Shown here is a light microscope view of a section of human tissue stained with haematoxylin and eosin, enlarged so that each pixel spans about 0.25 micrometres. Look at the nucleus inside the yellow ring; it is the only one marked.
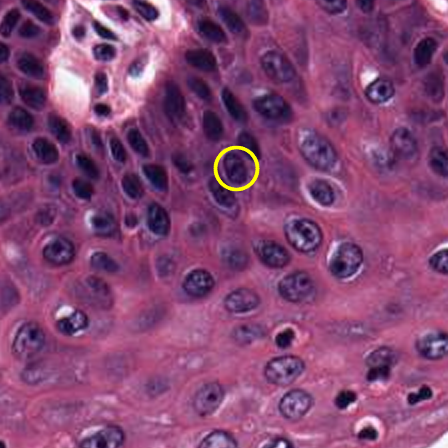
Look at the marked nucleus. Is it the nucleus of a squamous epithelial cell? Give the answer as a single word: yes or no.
yes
